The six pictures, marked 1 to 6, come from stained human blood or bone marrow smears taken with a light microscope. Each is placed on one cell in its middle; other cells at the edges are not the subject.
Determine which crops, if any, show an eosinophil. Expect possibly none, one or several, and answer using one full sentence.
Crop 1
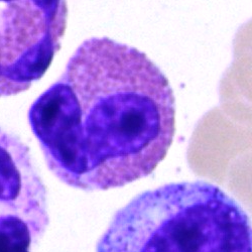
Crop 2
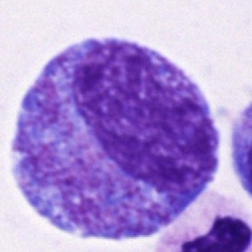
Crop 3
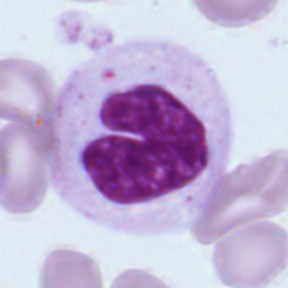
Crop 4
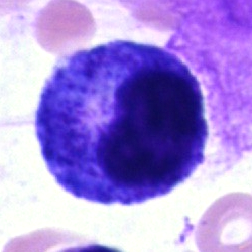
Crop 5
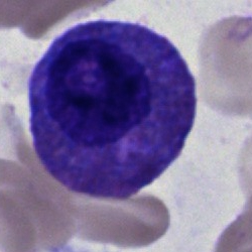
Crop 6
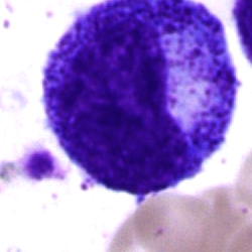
Crops 1 and 5 are the ones showing eosinophils.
